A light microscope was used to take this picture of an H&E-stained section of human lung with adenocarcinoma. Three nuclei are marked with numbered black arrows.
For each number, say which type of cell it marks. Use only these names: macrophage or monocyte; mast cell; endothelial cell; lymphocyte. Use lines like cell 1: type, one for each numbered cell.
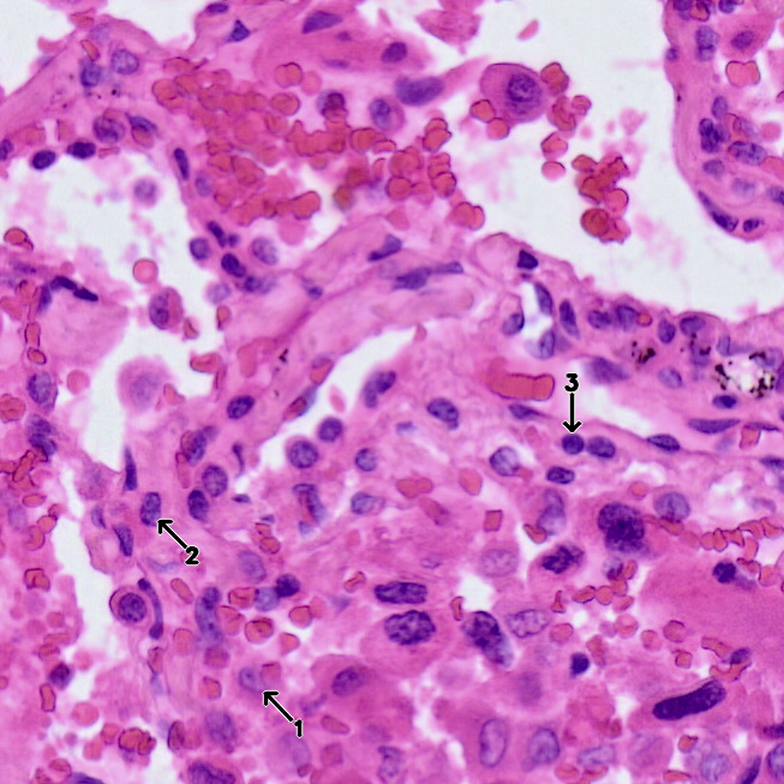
cell 1: macrophage or monocyte
cell 2: mast cell
cell 3: lymphocyte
